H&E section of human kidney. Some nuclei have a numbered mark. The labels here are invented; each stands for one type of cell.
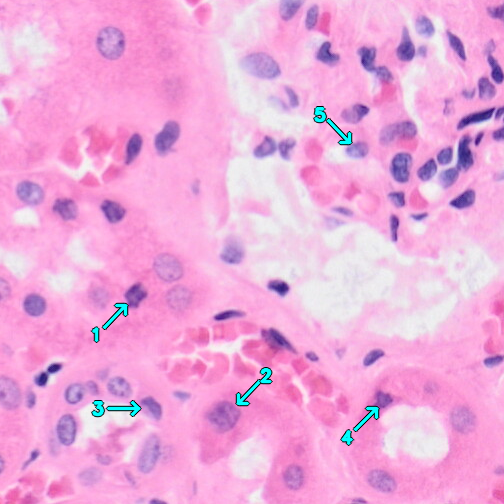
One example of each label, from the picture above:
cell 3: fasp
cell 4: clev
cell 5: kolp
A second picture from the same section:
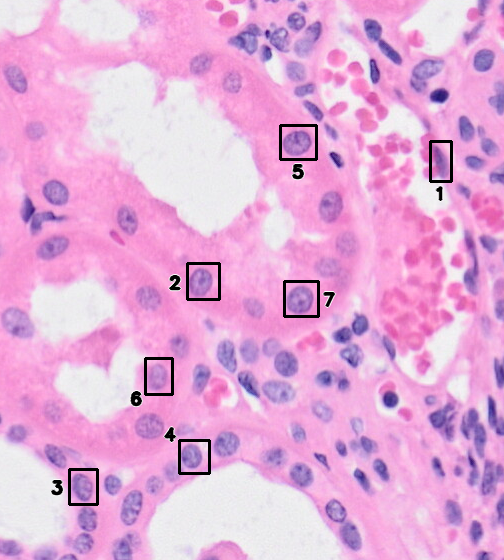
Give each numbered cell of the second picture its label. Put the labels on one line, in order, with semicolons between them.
kolp; clev; fasp; fasp; clev; clev; clev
